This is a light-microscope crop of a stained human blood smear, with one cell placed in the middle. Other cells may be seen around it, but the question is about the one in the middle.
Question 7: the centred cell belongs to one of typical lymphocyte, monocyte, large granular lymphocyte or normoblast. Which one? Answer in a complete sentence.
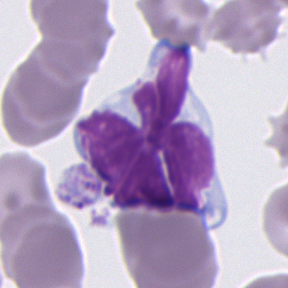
The cell occupying the middle of the crop is a large granular lymphocyte.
